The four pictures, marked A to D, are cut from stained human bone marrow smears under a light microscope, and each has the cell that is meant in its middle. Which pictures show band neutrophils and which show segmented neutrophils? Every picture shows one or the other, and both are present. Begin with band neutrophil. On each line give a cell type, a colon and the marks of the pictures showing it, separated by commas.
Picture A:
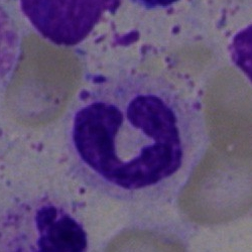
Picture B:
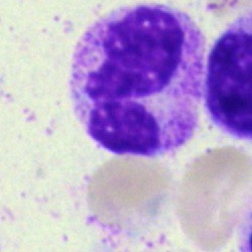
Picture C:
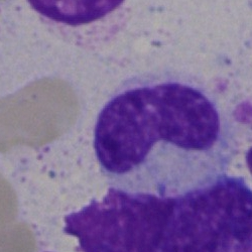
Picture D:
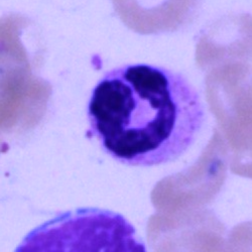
band neutrophil: C
segmented neutrophil: A, B, D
